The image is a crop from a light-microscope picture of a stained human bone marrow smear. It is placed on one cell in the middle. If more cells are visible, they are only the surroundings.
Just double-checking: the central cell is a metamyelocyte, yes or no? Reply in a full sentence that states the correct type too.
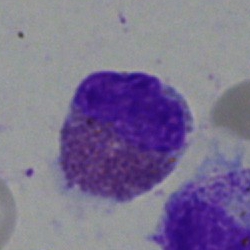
No, rather than a metamyelocyte, the central cell is an eosinophil.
